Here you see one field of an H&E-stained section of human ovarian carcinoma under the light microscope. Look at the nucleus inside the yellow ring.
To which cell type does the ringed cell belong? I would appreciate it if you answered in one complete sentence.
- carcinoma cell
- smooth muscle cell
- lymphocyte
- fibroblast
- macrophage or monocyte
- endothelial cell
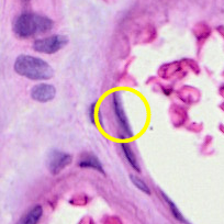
The category to which the ringed cell belongs is that of an endothelial cell.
